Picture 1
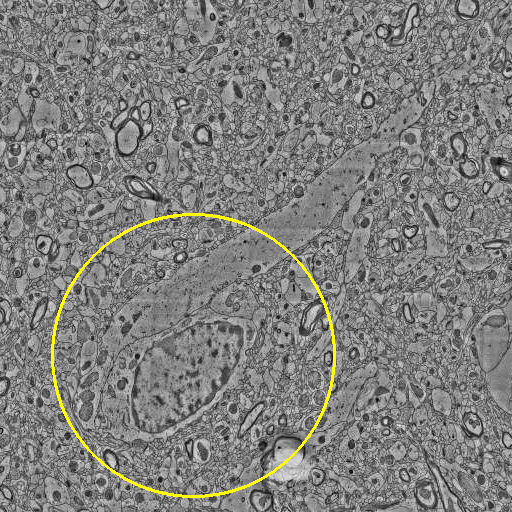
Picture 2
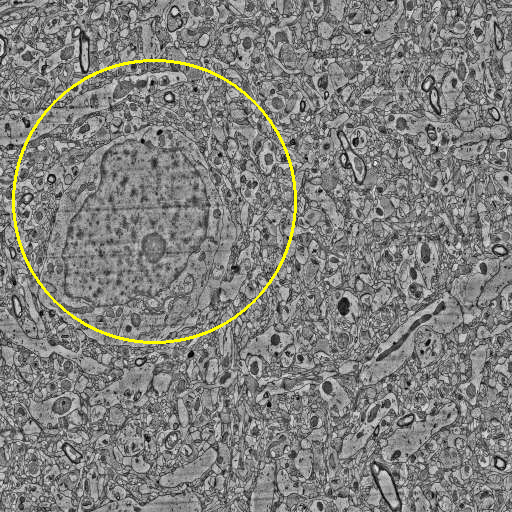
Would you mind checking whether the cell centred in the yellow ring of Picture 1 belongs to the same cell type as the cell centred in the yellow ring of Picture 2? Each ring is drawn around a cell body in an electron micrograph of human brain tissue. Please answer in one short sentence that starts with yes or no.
No, the two cells are of two types.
